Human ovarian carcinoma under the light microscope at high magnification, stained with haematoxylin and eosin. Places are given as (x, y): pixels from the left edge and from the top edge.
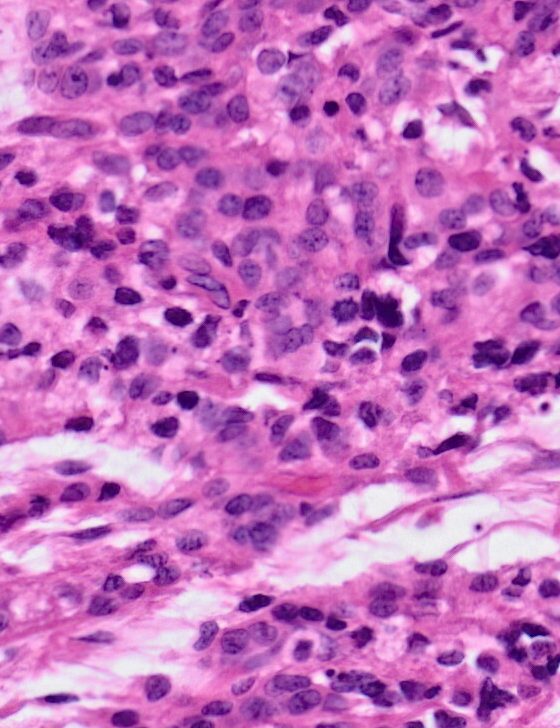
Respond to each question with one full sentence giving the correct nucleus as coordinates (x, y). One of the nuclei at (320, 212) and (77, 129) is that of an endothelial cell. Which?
Assigned to an endothelial cell is the nucleus located at (77, 129).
